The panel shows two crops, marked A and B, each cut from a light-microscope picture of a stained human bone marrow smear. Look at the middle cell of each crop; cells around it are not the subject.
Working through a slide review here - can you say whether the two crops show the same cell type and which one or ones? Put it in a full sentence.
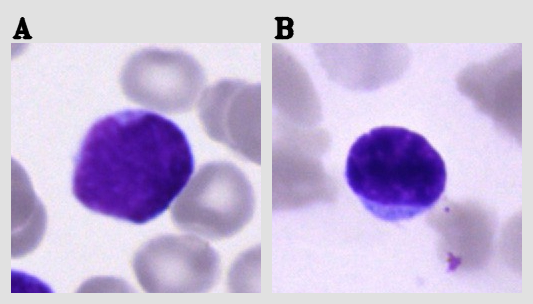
Yes, both crops in the pair show lymphocytes.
